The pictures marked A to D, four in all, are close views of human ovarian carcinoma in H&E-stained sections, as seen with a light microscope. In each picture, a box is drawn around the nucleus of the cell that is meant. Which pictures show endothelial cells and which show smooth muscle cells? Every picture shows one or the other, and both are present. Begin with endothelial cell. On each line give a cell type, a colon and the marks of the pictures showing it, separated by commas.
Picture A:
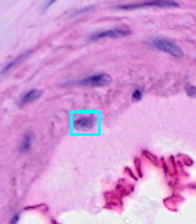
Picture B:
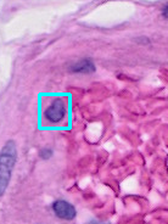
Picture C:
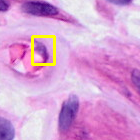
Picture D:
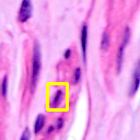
endothelial cell: A, B, C
smooth muscle cell: D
